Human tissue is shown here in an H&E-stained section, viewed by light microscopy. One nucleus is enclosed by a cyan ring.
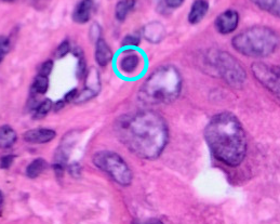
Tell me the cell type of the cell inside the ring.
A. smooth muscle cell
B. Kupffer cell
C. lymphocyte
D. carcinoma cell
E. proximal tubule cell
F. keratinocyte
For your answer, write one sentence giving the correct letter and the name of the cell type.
In the section, the cell inside the ring is a lymphocyte, and option C is correct accordingly.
